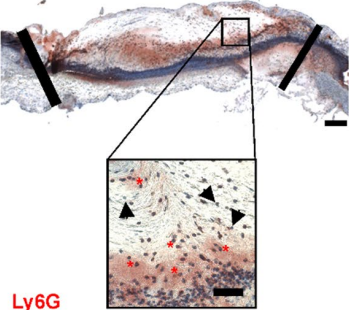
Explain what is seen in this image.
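Wound tissue in overview, crossed lengthwise by a dark blue band of epidermal cells, with broad areas of diffuse reddish-brown staining above the band in the wound region between two thick black lines. The enlarged box shows loosely arranged, elongated cells with dark blue oval nuclei in a pale matrix, overlying patches of diffuse red-brown stain. Along the lower edge of the box lies a denser cluster of small, dark blue nuclei next to a zone of stronger red-brown staining.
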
